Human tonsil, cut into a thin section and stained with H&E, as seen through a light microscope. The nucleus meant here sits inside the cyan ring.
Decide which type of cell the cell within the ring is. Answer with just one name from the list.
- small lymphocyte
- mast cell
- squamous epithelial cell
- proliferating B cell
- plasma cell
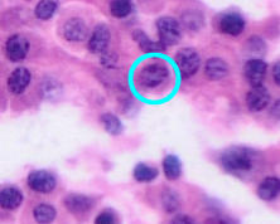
plasma cell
